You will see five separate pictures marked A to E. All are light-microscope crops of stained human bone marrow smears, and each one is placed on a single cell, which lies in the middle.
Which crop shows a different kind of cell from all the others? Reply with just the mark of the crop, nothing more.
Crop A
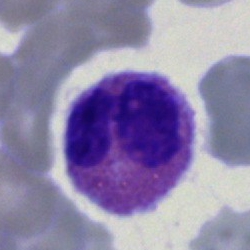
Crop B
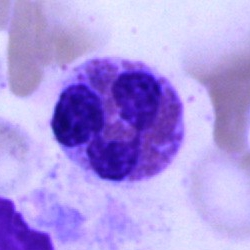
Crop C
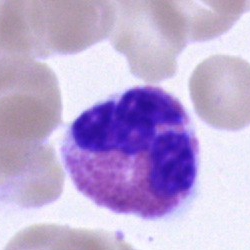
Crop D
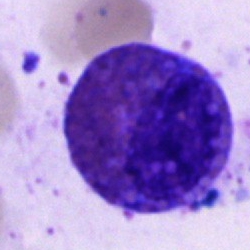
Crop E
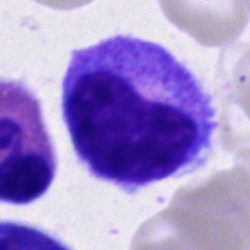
E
